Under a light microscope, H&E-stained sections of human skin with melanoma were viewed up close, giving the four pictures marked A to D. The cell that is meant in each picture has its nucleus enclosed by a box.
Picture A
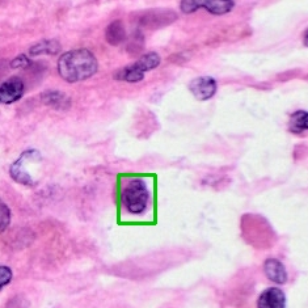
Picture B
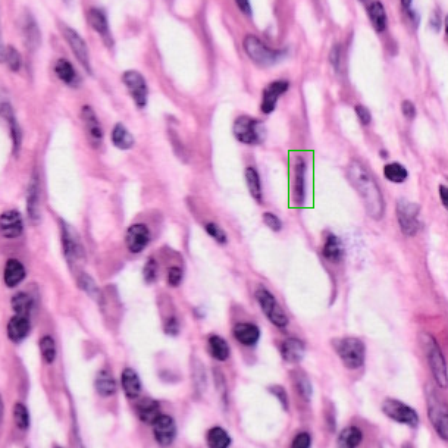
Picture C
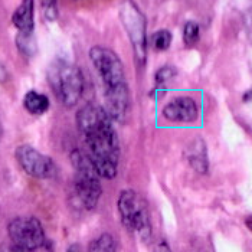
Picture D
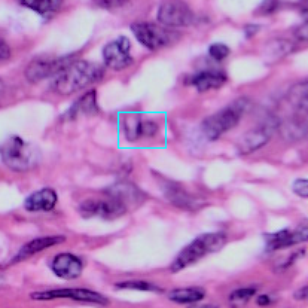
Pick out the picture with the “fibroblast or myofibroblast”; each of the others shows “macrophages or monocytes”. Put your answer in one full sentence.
Picture B is the one that shows the “fibroblast or myofibroblast”.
